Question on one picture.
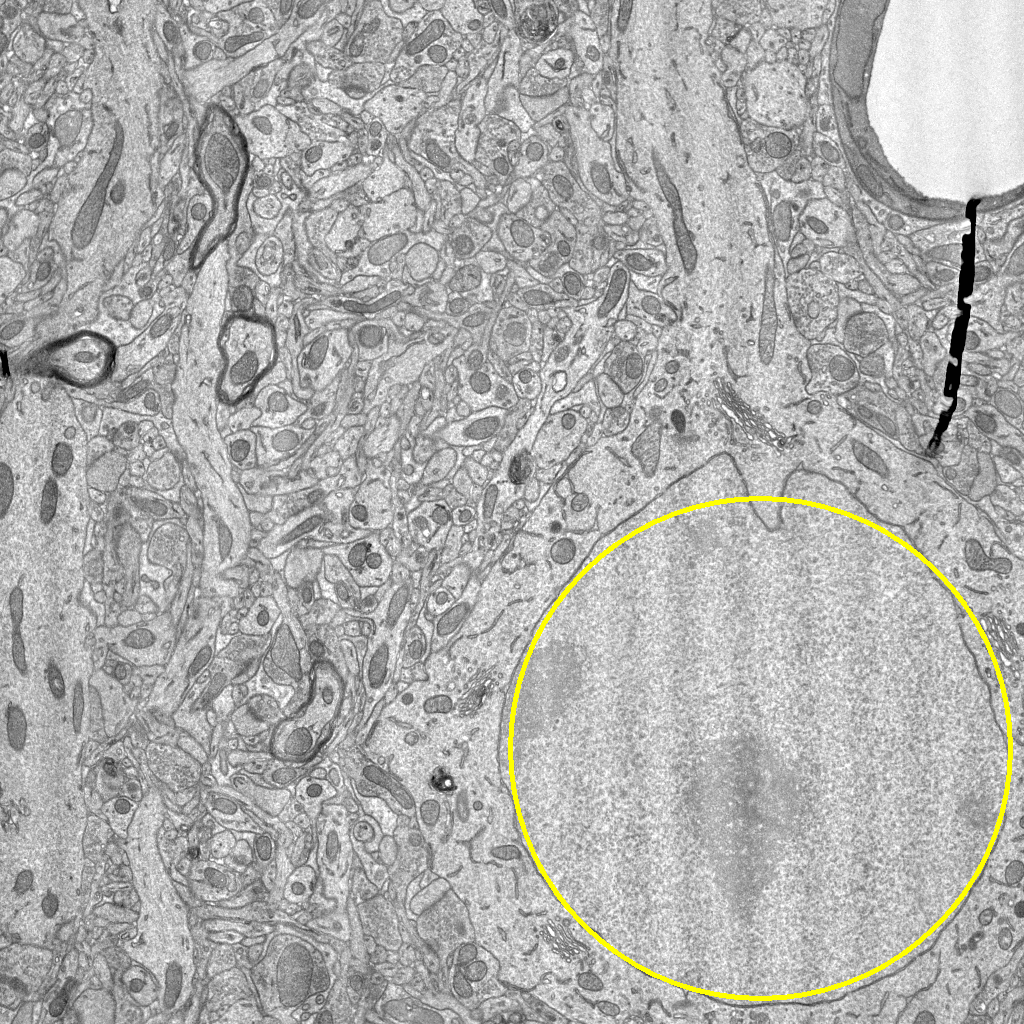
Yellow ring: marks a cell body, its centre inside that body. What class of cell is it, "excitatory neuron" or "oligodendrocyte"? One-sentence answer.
This is an excitatory neuron, the cell at the ring's centre.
